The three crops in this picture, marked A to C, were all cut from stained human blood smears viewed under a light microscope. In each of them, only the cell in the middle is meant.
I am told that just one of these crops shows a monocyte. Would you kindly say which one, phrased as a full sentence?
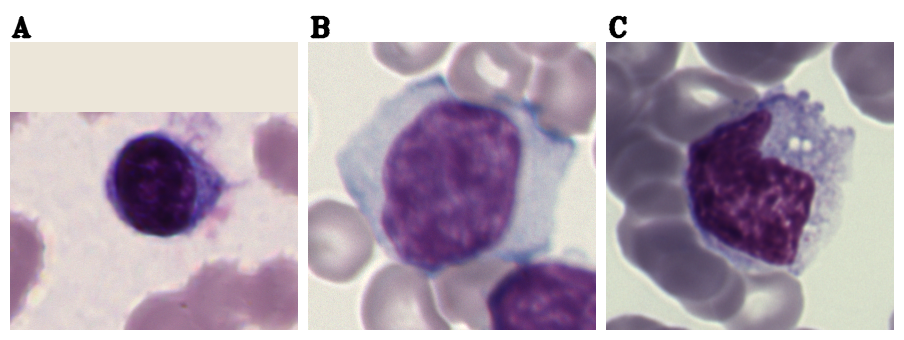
The crop marked C is the one in which a monocyte is shown.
